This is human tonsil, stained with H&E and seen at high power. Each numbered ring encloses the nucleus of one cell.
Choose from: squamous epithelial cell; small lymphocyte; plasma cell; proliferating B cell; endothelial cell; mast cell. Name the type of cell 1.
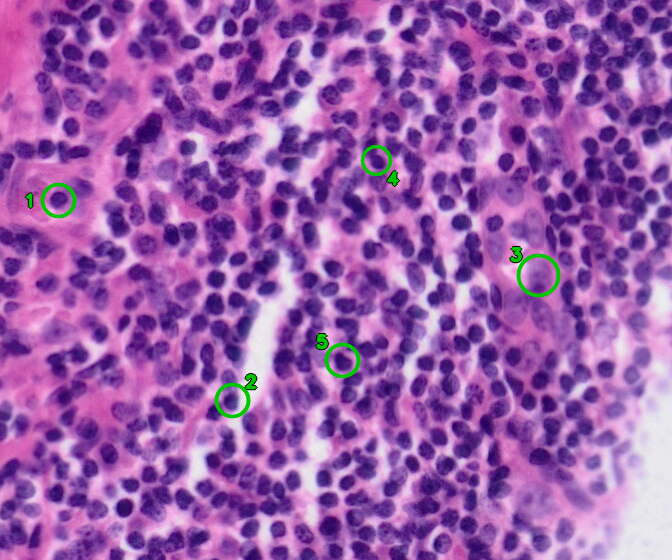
endothelial cell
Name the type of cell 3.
endothelial cell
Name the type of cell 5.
small lymphocyte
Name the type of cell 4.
small lymphocyte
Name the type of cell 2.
small lymphocyte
